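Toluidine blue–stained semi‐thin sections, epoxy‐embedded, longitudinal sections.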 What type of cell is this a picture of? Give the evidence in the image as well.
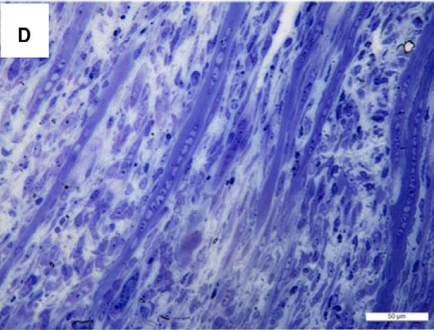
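Long slender fibres run diagonally across the field. Nuclei form chains along the centre of the fibres. Numerous small cells fill the spaces between the fibres.
Hence: regenerating myofibres.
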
